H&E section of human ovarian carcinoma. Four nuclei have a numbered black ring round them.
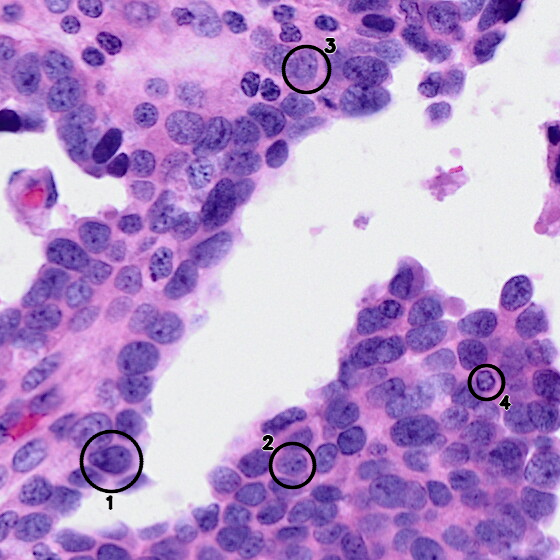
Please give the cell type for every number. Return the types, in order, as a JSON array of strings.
["carcinoma cell", "carcinoma cell", "carcinoma cell", "macrophage or monocyte"]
